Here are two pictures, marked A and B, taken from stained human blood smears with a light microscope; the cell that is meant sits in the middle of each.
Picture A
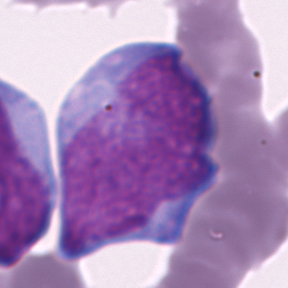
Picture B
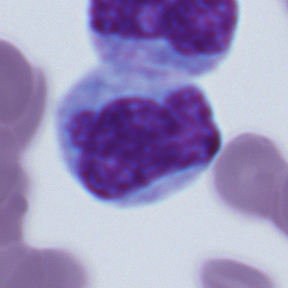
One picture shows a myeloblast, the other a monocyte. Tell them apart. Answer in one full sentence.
Picture A is of a myeloblast, and picture B is of a monocyte.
